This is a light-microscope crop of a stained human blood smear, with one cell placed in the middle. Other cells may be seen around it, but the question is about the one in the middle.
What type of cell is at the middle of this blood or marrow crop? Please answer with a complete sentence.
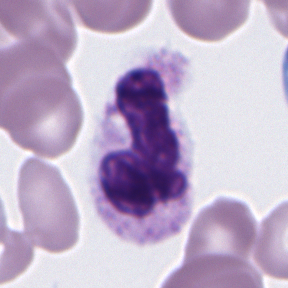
In the central position of this crop, the cell is a segmented neutrophil.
